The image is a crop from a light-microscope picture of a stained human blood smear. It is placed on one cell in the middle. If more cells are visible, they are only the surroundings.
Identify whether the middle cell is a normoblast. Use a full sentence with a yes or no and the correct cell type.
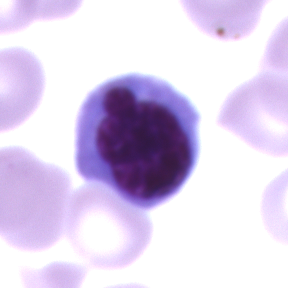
Yes, that is right: the middle cell is a normoblast.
